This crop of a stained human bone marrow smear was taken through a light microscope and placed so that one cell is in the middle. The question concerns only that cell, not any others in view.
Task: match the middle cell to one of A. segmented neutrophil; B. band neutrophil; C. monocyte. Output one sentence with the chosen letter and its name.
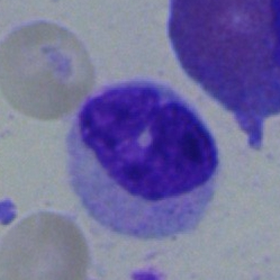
The correct choice is option C, which identifies the middle cell as a monocyte.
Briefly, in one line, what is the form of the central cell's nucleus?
The nuclear material is gathered into one compact round, oval or kidney-shaped mass.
